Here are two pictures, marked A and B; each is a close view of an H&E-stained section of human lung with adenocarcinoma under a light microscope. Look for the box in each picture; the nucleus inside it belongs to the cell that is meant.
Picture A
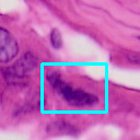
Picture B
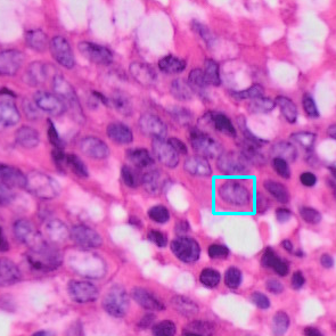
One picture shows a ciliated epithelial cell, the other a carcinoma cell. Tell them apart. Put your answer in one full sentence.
Picture A shows a carcinoma cell and picture B shows a ciliated epithelial cell.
